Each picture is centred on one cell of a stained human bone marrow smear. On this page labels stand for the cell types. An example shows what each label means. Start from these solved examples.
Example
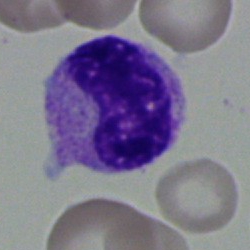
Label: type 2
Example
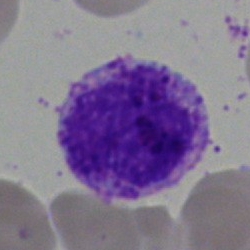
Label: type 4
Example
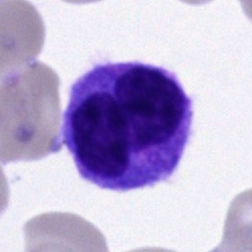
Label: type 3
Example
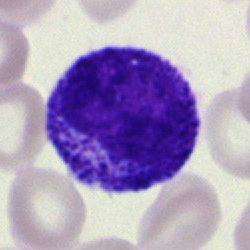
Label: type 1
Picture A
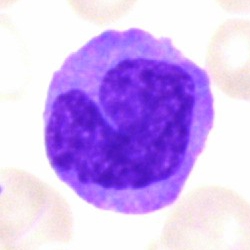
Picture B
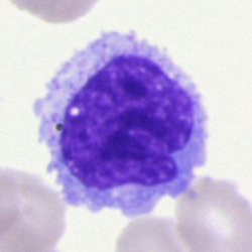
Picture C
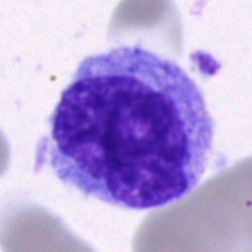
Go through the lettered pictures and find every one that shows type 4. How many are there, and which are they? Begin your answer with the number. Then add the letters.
0, none of them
